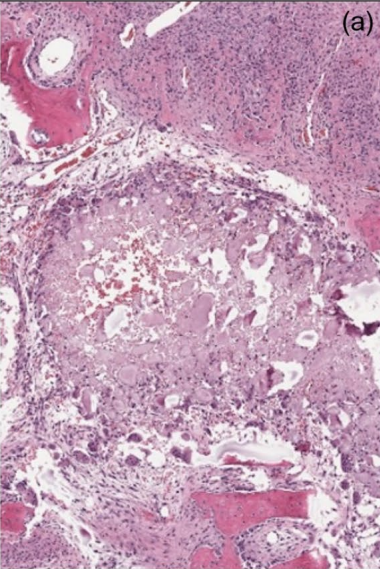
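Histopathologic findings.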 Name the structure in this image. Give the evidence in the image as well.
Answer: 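A large rounded area of pale, structureless purplish material fills the centre. The area is rimmed by a band of denser cells. Red blood cells lie within the pale material.
Hence: islands of amorphous basophilic material.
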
